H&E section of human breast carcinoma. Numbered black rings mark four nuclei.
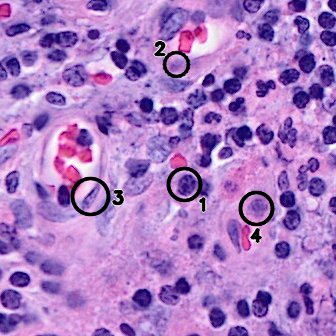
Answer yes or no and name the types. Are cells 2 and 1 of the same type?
No, cell 2 is an endothelial cell; as for cell 1, that one is a lymphocyte.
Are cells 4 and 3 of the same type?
Yes, and to be precise, cells 4 and 3 are both endothelial cells.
